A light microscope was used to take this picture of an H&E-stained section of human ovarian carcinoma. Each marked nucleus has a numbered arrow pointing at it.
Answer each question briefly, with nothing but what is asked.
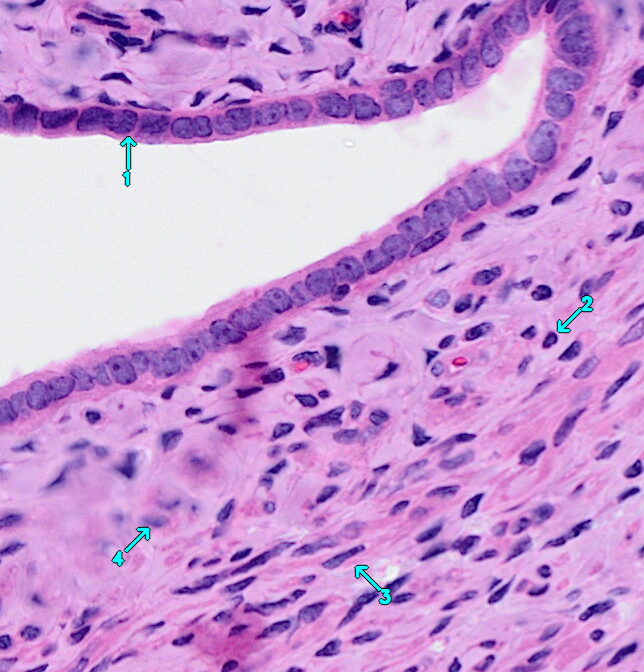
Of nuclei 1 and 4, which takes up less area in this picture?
4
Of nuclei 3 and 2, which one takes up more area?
3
